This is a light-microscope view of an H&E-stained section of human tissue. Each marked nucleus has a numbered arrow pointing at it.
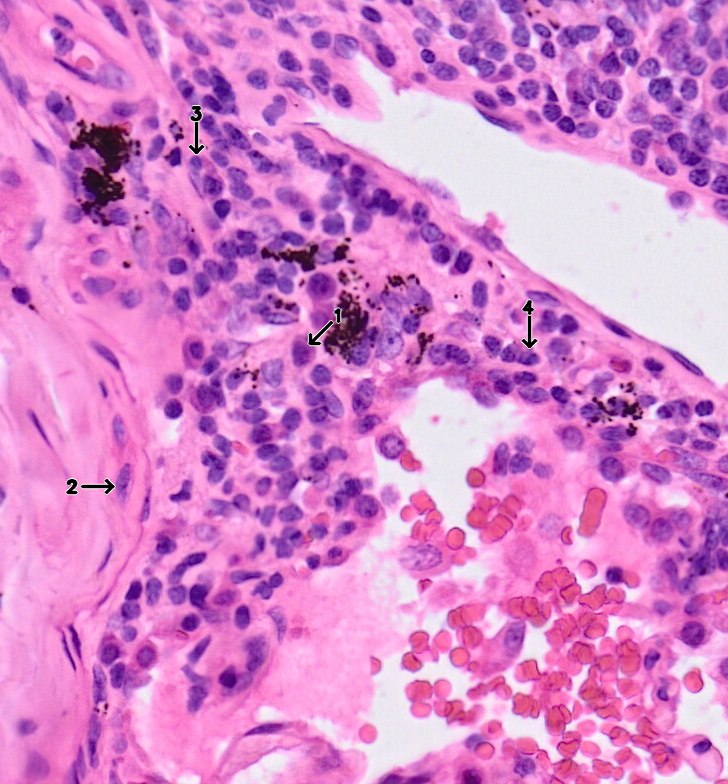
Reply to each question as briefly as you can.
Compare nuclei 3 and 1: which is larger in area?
1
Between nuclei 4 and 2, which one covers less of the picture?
4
